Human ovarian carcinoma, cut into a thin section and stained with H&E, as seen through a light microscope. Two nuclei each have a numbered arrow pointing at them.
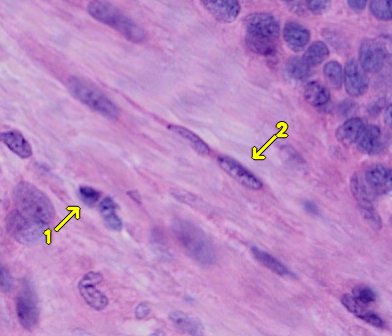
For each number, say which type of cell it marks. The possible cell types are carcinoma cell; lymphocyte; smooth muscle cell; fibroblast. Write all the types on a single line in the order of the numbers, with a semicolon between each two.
lymphocyte; fibroblast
